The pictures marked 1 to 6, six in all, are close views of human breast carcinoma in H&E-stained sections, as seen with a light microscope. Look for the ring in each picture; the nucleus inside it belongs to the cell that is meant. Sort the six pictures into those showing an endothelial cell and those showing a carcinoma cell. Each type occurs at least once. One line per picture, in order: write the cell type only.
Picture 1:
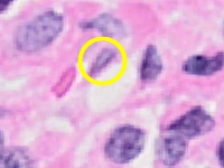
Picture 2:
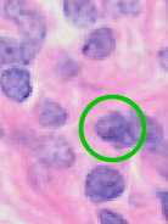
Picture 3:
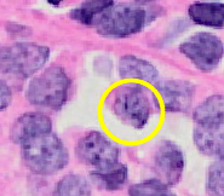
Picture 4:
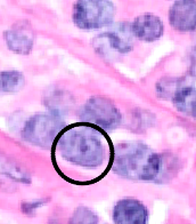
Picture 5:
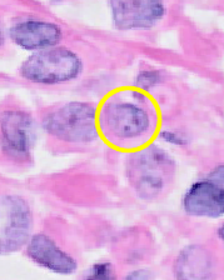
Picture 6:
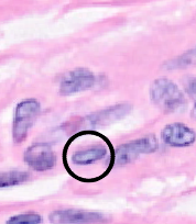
endothelial cell
carcinoma cell
carcinoma cell
carcinoma cell
carcinoma cell
endothelial cell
